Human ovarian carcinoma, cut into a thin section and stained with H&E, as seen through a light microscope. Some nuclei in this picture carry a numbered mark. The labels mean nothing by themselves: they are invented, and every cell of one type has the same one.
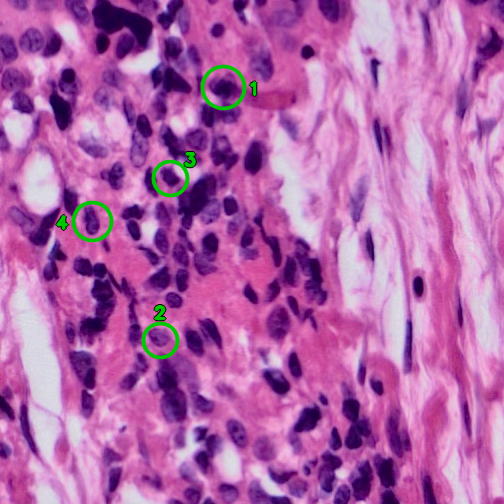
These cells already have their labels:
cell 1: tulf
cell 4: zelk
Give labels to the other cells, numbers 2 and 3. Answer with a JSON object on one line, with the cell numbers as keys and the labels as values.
{"2": "zelk", "3": "tulf"}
